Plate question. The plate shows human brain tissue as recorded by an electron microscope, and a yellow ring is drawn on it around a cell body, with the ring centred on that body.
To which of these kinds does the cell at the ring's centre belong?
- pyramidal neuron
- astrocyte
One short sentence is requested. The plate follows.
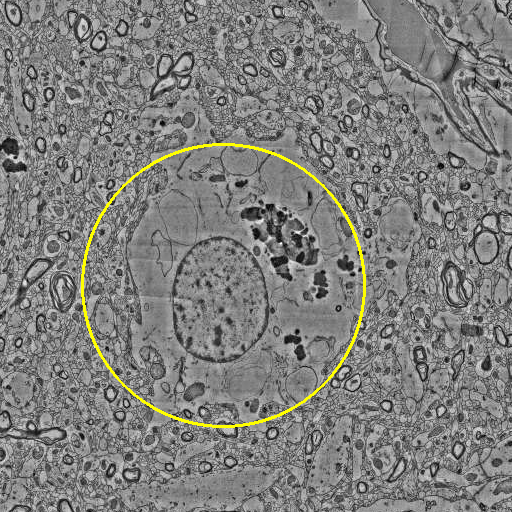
The cell at the ring's centre is an astrocyte.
